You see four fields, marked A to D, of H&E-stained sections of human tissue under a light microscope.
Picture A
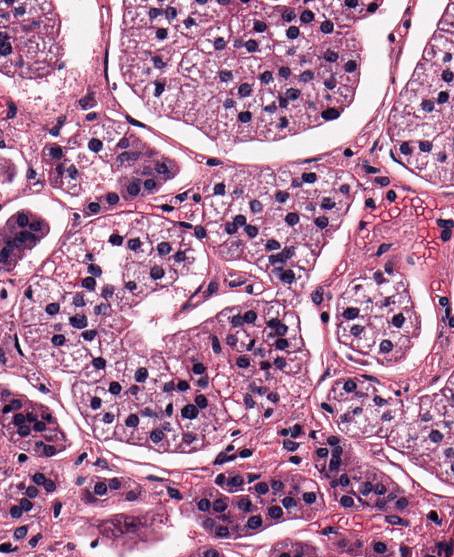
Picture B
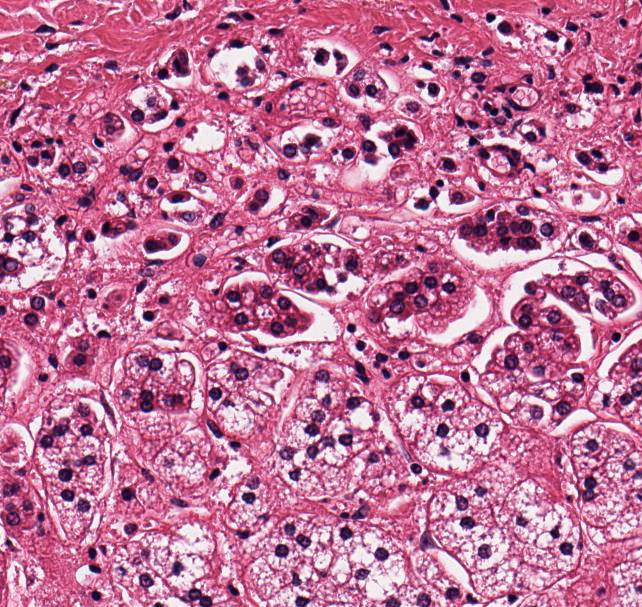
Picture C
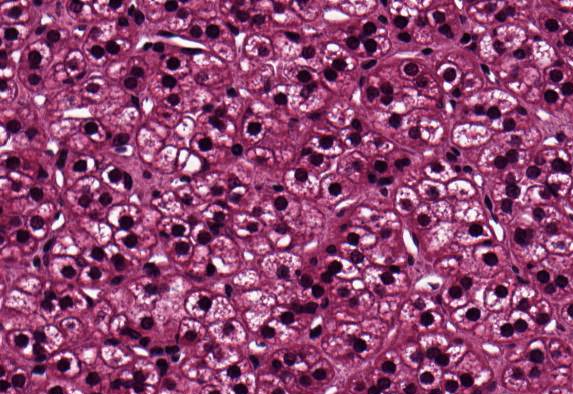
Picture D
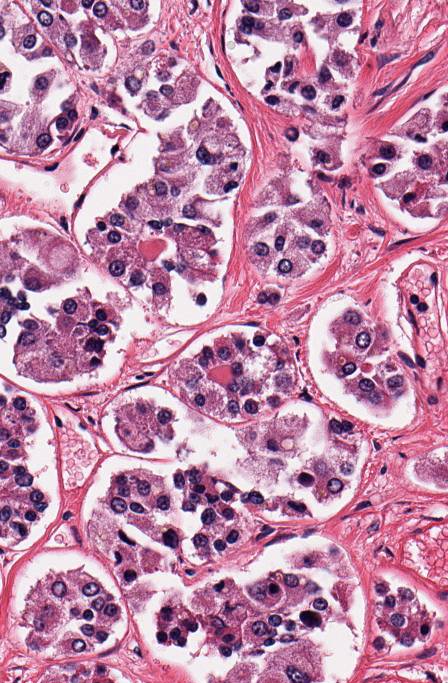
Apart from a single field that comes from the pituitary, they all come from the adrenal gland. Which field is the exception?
D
